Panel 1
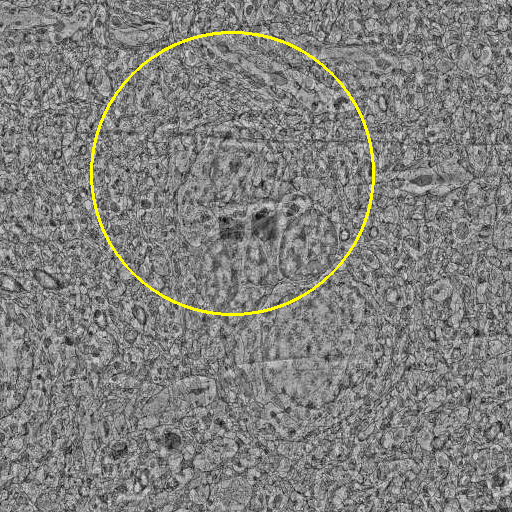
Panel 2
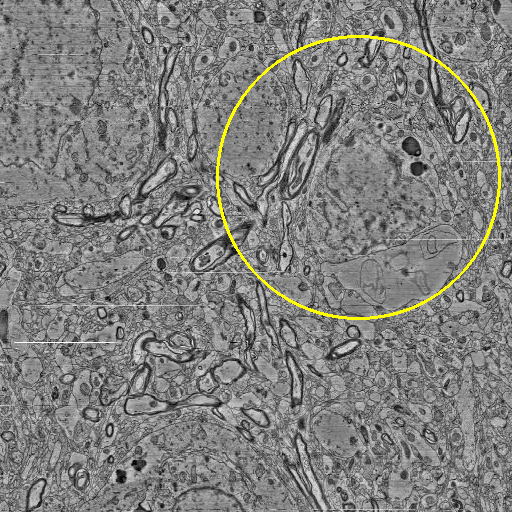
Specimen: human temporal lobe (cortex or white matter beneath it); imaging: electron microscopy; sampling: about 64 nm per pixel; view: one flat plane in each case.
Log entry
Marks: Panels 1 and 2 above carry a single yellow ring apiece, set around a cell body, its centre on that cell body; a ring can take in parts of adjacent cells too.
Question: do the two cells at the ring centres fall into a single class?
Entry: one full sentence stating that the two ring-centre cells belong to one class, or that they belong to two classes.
The two ring-centre cells in Panels 1 and 2 belong to one class.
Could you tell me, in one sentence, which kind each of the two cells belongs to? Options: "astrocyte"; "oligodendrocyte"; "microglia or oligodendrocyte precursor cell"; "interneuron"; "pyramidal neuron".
Each of the two pictures has an interneuron at the ring centre.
